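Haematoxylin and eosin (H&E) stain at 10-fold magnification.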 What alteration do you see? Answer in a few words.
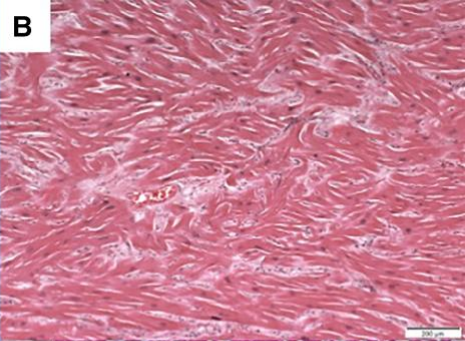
cardiomyocyte disarray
